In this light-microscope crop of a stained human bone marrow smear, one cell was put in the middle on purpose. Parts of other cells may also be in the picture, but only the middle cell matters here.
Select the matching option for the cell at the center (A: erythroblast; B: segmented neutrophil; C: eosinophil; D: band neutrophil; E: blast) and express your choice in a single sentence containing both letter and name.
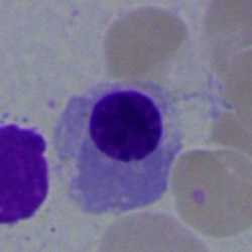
What option A states is correct, the central cell being an erythroblast.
